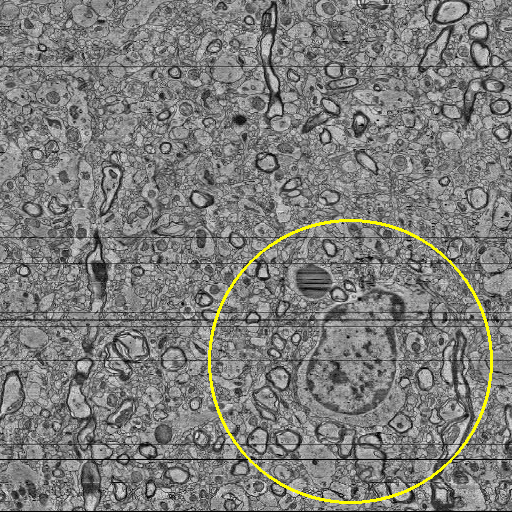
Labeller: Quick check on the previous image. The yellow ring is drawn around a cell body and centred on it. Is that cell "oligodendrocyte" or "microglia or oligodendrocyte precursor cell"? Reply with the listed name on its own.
microglia or oligodendrocyte precursor cell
